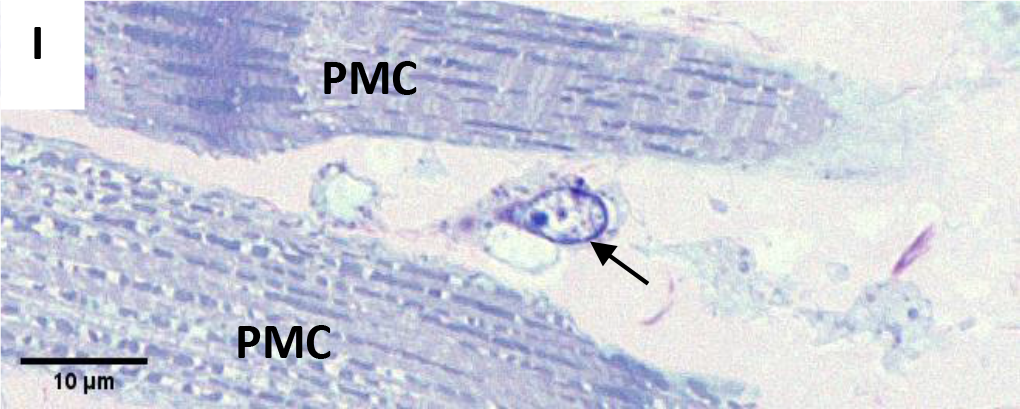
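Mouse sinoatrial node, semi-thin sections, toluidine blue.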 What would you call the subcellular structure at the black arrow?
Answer: Nuclei.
